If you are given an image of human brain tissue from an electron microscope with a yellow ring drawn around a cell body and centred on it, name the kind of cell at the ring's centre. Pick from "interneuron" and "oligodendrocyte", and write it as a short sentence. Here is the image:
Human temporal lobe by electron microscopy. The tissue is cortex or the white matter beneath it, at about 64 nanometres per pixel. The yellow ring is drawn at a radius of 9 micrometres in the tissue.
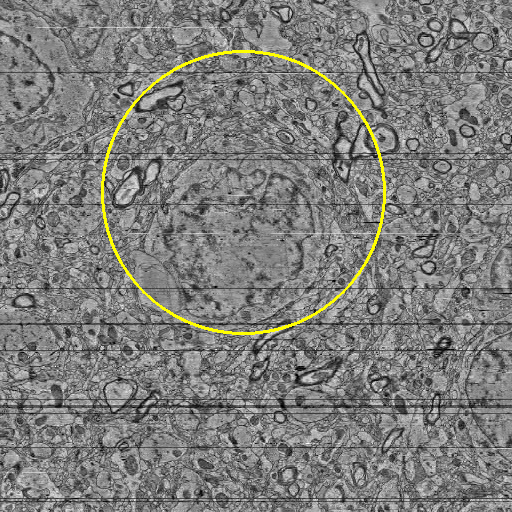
The cell at the ring's centre is an interneuron.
